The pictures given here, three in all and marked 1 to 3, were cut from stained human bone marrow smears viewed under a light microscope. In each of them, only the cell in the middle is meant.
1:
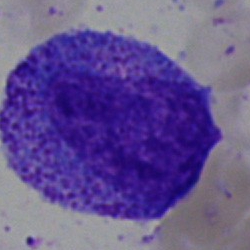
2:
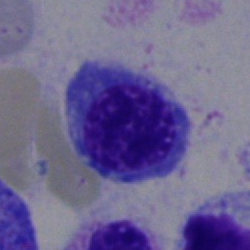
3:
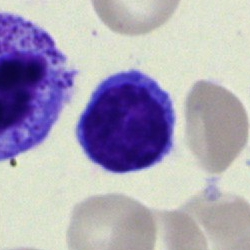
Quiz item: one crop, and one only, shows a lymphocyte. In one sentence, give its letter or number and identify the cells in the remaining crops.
In crop 3 the cell shown is a lymphocyte, and crop 1 is a promyelocyte and crop 2 is a normoblast.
